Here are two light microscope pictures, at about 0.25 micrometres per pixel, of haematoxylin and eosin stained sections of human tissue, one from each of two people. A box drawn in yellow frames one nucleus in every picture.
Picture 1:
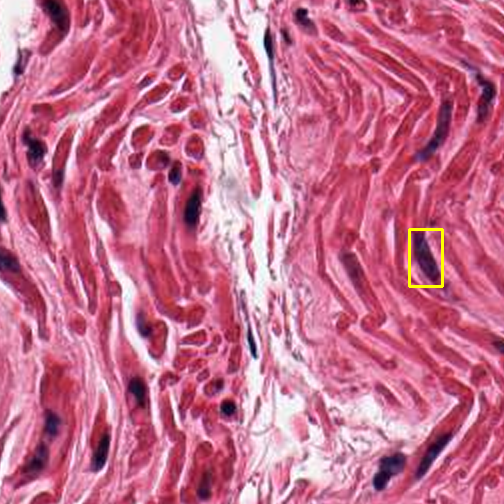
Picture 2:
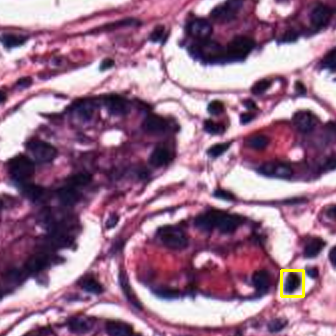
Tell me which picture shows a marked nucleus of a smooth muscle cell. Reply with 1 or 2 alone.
1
